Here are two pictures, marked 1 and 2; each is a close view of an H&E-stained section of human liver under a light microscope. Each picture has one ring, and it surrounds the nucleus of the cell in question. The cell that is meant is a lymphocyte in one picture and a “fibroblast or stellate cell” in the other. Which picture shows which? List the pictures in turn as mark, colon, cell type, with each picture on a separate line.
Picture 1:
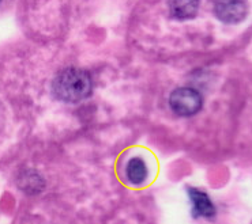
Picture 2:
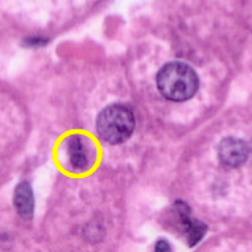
1: lymphocyte
2: fibroblast or stellate cell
